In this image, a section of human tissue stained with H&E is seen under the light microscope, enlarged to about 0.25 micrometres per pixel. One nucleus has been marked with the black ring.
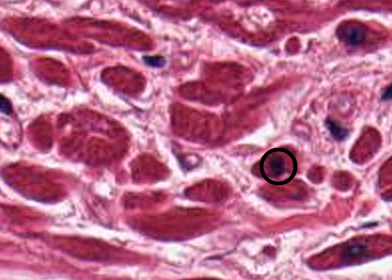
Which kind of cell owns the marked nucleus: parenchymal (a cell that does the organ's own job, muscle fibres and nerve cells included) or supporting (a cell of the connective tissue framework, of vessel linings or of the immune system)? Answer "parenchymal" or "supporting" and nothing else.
parenchymal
